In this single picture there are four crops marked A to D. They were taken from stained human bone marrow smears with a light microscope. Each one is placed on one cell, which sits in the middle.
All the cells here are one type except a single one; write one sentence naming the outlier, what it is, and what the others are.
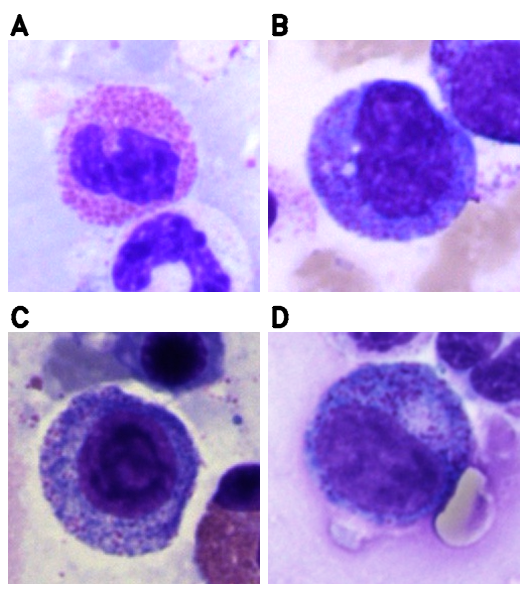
With the other crops all showing promyelocytes, crop A differs by showing an eosinophil.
